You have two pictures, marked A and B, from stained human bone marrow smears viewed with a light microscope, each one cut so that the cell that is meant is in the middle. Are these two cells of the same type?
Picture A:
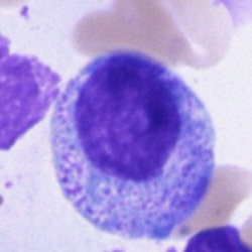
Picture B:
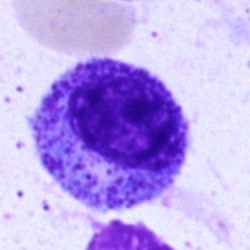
no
